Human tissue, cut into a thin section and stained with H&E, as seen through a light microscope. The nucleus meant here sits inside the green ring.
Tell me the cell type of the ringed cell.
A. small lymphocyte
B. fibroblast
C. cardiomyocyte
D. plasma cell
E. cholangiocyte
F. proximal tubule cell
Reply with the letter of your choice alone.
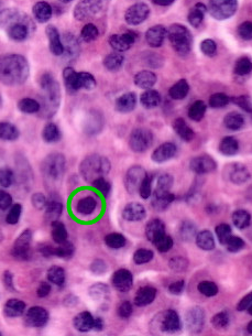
D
